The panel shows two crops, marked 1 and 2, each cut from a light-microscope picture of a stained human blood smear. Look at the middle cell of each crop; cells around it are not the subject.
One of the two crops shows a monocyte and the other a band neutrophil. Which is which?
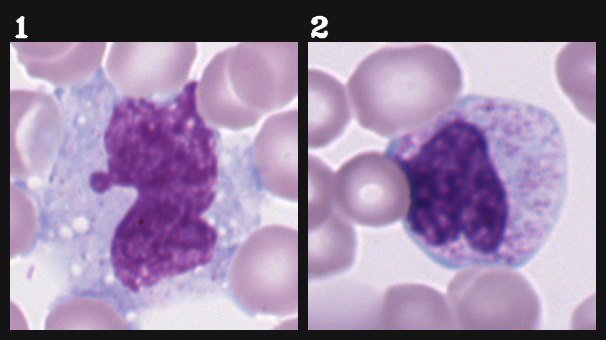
1: monocyte
2: band neutrophil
